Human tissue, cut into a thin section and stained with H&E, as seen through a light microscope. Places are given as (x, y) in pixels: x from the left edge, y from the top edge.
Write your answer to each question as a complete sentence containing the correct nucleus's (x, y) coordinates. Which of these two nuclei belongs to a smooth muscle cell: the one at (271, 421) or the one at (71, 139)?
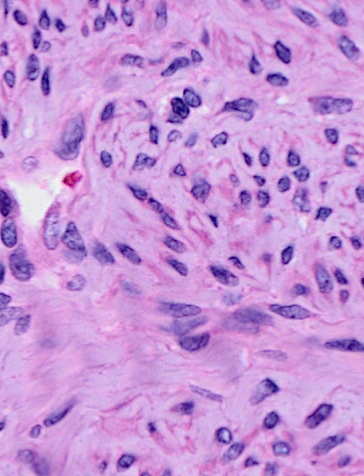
As for which of the two, the nucleus at (271, 421) belongs to a smooth muscle cell.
